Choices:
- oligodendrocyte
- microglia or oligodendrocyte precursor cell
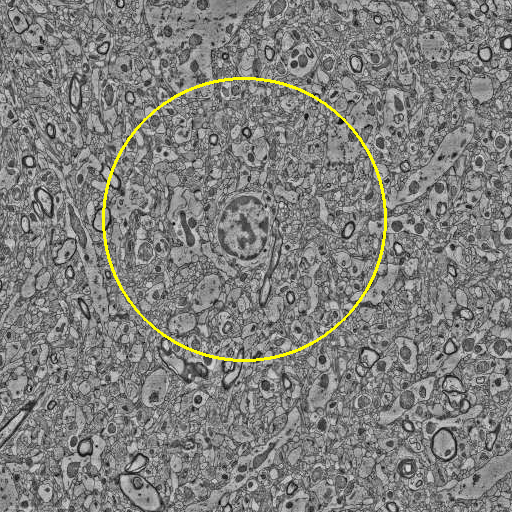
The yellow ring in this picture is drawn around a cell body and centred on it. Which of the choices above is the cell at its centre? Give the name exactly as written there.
microglia or oligodendrocyte precursor cell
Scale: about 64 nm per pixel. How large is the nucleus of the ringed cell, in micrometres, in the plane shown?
Approximately 4 micrometres long and 3 micrometres wide, in this plane.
